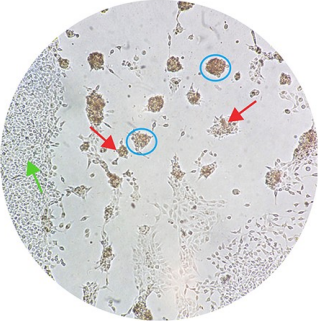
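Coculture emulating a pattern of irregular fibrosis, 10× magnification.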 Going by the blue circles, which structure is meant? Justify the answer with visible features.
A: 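The circled objects are rounded, dense, dark brownish clumps of many cells. Several similar clumps lie scattered across the field outside the circles. On this evidence: cells agglomerations.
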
